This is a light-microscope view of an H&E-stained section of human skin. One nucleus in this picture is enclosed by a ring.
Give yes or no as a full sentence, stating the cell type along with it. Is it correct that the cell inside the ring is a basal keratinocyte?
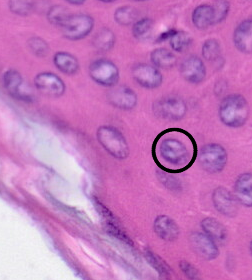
No, the cell inside the ring is best named a suprabasal keratinocyte, not a basal keratinocyte.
